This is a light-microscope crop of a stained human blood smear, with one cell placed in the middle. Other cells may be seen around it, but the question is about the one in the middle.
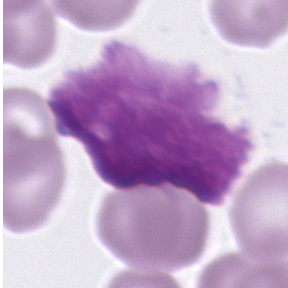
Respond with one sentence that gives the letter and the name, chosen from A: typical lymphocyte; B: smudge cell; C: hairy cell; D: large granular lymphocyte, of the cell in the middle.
The cell in the middle is correctly identified as a smudge cell in option B.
